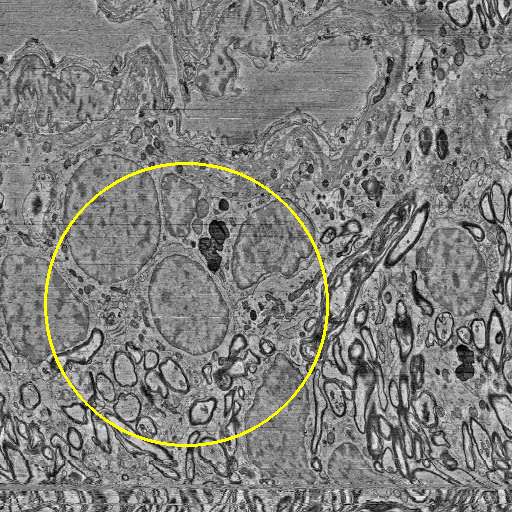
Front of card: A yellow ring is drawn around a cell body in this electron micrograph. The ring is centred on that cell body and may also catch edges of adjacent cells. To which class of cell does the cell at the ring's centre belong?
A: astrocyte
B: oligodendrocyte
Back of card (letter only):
B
